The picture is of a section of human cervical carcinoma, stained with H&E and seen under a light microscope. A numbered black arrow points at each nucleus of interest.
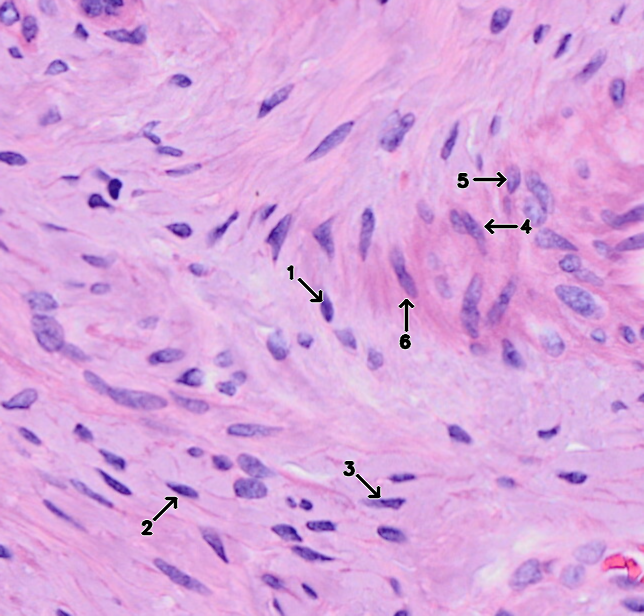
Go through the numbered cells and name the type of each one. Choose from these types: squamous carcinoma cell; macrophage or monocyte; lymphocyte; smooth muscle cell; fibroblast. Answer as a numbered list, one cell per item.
1. fibroblast
2. fibroblast
3. fibroblast
4. smooth muscle cell
5. smooth muscle cell
6. smooth muscle cell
